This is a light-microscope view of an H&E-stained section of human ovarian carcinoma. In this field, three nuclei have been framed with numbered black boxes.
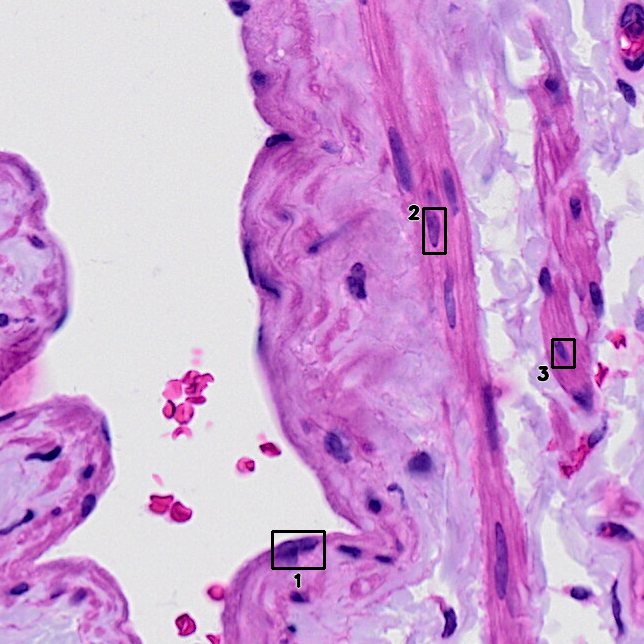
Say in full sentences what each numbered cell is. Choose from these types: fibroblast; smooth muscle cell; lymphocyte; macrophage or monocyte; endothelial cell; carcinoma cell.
Cell 1 is an endothelial cell. Cells 2 and 3 are smooth muscle cells.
